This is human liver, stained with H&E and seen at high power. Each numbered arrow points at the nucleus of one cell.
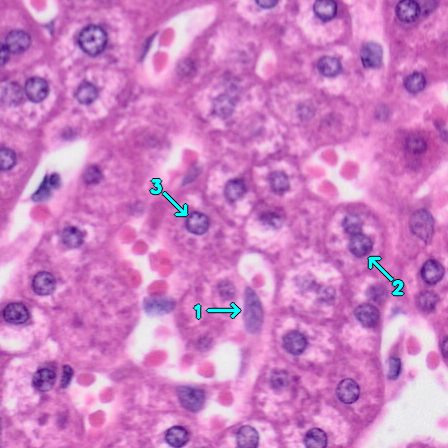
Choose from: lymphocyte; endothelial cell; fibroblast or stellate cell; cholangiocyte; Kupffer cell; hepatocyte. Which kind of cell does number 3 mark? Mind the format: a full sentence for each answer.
Regarding cell 3, this one is a hepatocyte.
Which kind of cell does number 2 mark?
The cell identified by the number 2 is a hepatocyte.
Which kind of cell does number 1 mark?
The cell indicated by marker 1 is a Kupffer cell in this section.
